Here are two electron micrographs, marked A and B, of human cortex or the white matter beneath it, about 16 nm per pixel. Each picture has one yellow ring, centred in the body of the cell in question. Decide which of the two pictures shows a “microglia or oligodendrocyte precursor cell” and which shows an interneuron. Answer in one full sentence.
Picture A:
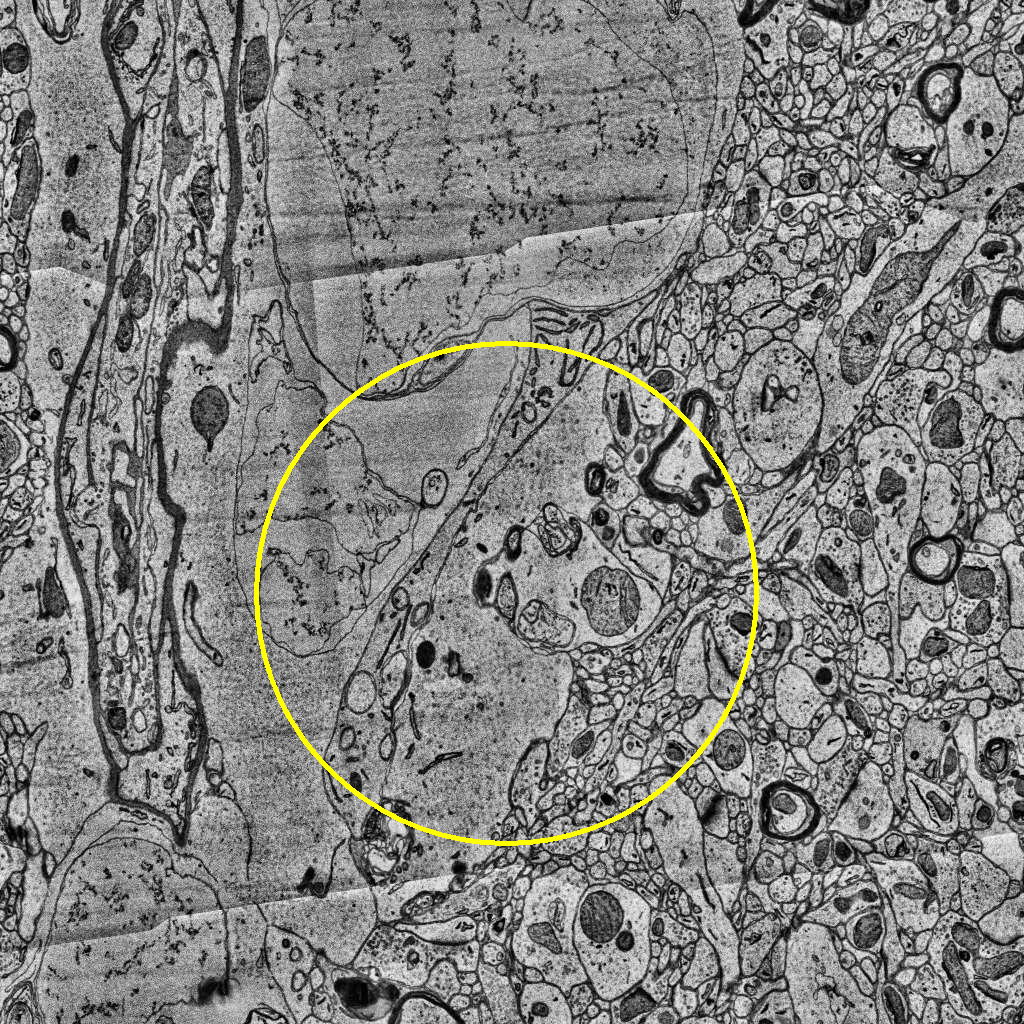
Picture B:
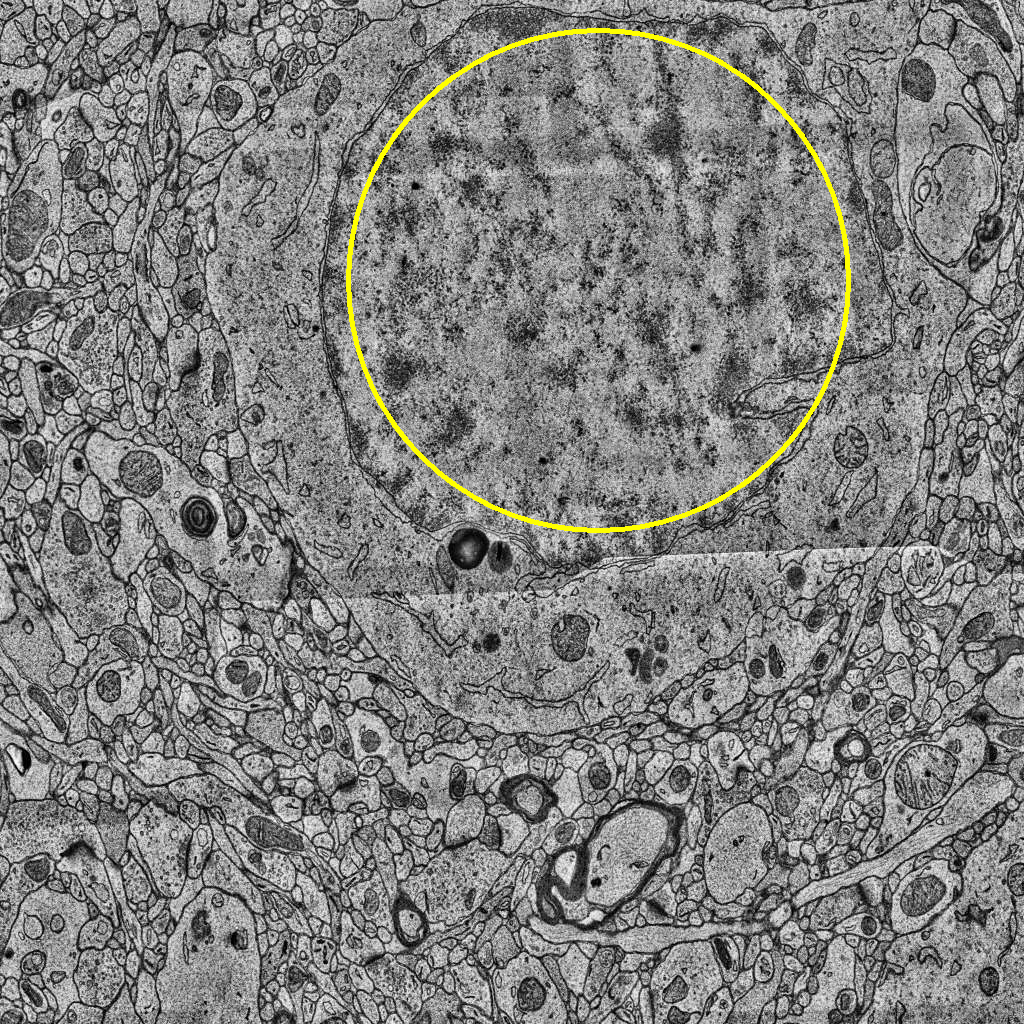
Picture B shows an interneuron, while picture A shows a “microglia or oligodendrocyte precursor cell”.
